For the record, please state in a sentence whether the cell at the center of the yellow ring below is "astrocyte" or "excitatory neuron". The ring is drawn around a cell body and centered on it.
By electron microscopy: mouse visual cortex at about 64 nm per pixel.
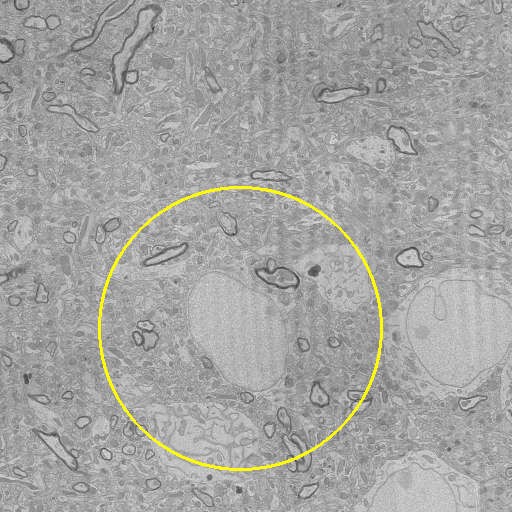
The cell at the ring's center is an astrocyte.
